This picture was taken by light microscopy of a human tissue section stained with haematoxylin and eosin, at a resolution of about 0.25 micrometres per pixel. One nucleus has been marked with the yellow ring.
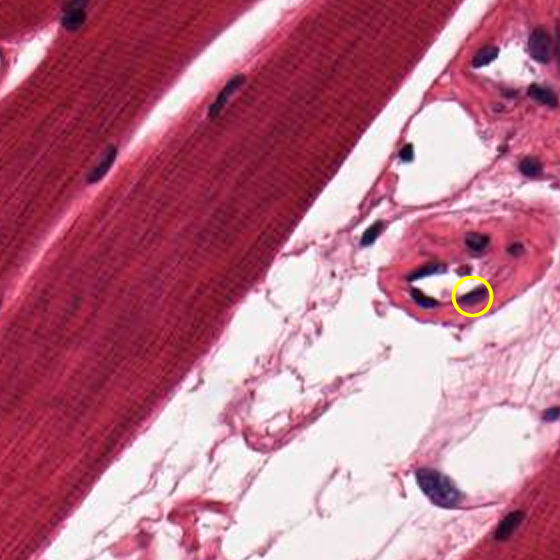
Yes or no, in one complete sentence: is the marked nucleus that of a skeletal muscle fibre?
No, the marked nucleus belongs to a supporting cell, and a skeletal muscle fibre is not its owner.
